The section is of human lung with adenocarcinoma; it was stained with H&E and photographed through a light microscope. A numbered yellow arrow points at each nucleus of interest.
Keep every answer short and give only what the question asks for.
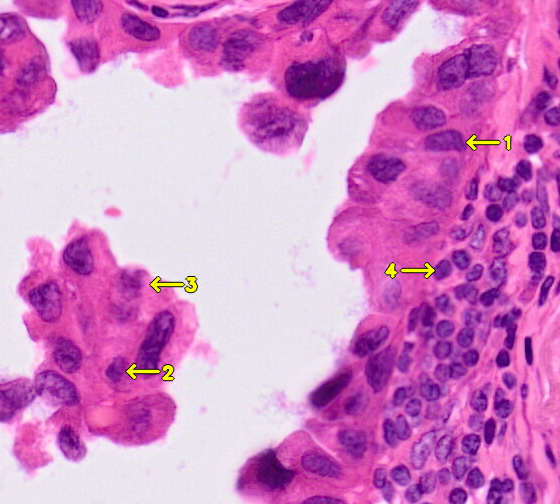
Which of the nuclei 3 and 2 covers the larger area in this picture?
3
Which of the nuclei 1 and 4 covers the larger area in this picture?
1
